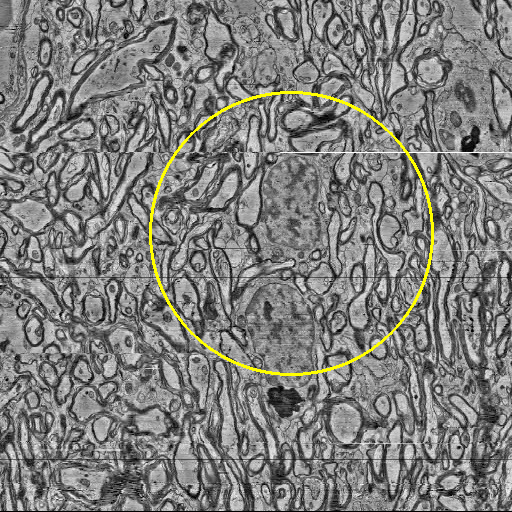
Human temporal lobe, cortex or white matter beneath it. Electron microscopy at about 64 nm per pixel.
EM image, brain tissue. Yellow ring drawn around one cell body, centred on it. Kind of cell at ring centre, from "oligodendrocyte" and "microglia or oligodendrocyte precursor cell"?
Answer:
oligodendrocyte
